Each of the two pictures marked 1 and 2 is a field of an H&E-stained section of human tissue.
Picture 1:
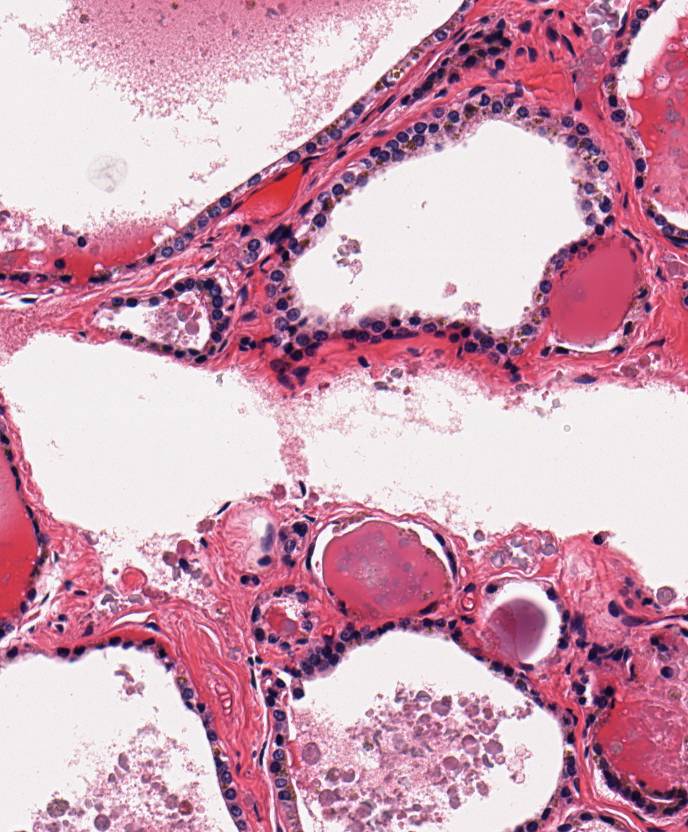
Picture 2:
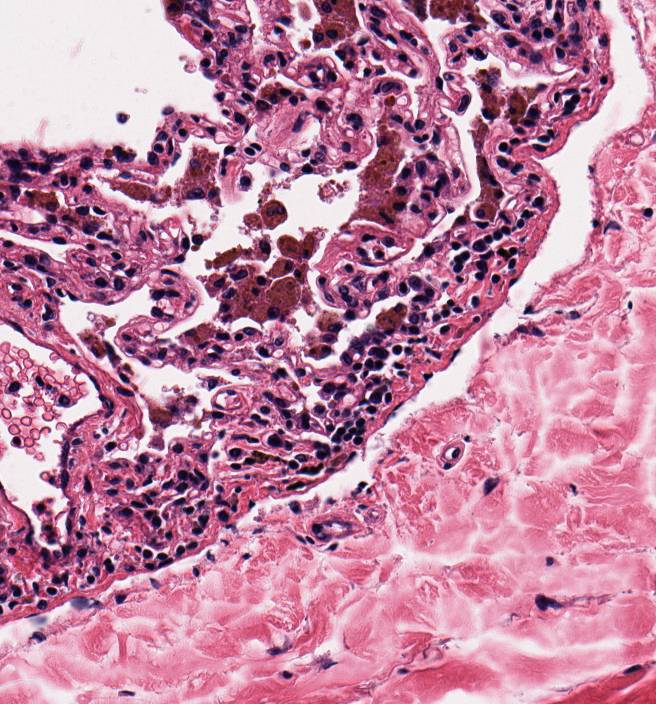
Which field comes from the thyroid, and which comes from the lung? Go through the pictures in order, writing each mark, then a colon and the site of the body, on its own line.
1: thyroid
2: lung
